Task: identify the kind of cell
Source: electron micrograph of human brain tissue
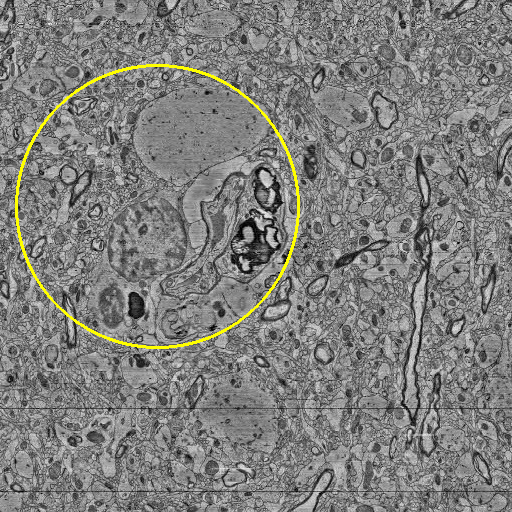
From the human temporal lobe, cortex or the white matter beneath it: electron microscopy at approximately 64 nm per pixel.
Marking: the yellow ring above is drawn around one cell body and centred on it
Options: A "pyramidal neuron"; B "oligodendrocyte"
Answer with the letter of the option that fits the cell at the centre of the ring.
B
